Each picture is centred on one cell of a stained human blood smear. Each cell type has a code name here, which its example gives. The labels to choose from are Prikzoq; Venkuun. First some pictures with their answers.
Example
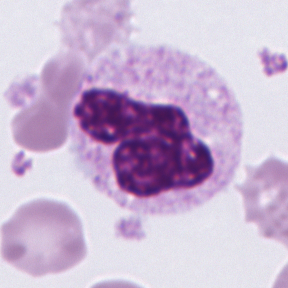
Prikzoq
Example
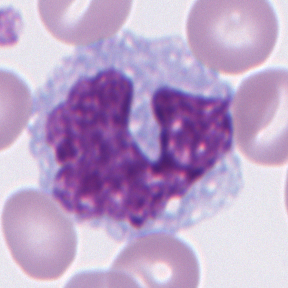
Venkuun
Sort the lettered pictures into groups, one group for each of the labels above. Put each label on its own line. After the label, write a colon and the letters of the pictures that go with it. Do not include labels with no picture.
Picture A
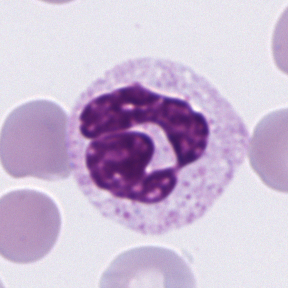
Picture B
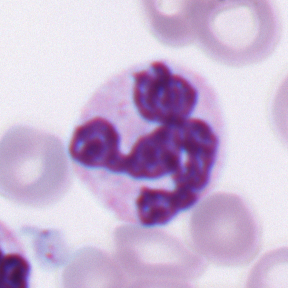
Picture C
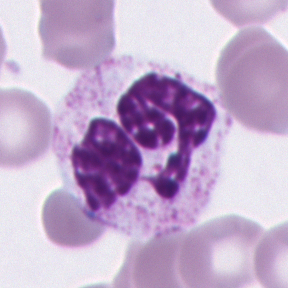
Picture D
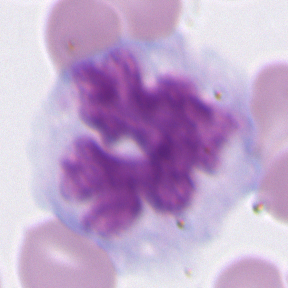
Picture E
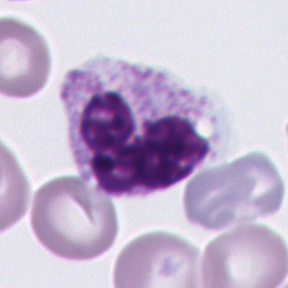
Prikzoq: A, B, C, E
Venkuun: D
